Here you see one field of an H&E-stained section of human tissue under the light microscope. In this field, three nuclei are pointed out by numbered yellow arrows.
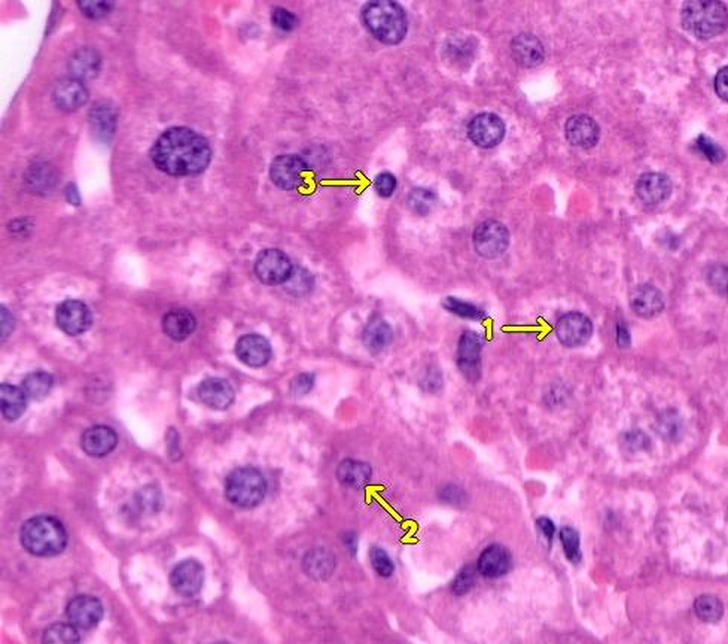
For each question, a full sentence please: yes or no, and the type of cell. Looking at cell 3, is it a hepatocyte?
No, the cell identified by number 3 is a lymphocyte, not a hepatocyte.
